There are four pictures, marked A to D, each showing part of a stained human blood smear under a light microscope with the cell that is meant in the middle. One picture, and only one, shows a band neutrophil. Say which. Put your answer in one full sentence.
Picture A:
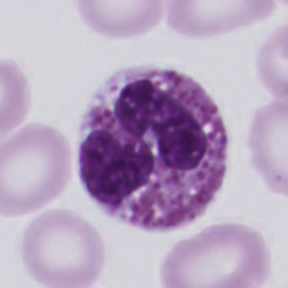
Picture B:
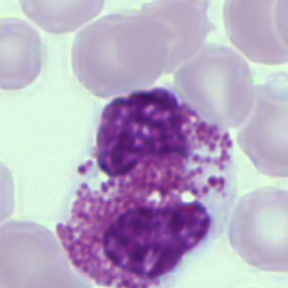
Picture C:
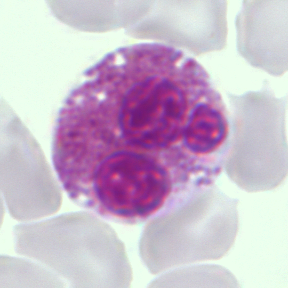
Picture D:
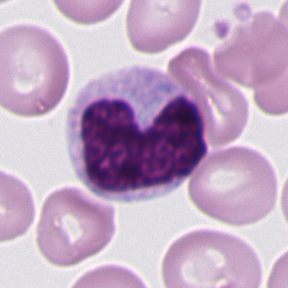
The picture with the band neutrophil is D.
